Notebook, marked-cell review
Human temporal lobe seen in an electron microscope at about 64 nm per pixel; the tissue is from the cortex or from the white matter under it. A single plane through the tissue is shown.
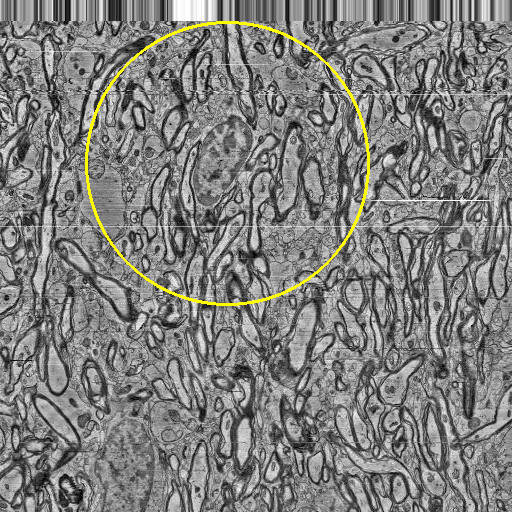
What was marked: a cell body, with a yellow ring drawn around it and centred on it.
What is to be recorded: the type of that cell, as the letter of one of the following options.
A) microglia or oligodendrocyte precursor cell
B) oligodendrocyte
A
